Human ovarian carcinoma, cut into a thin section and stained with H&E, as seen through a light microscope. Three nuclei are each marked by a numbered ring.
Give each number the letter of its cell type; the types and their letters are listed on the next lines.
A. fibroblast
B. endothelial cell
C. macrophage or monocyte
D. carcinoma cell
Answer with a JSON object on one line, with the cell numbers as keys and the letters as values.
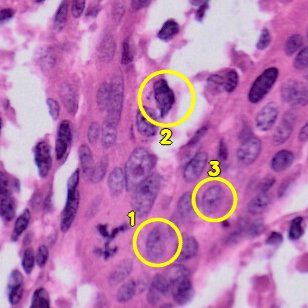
{"1": "D", "2": "C", "3": "D"}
